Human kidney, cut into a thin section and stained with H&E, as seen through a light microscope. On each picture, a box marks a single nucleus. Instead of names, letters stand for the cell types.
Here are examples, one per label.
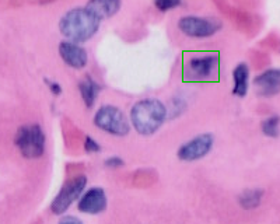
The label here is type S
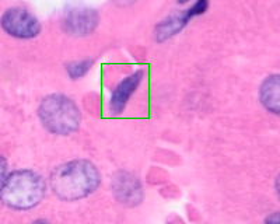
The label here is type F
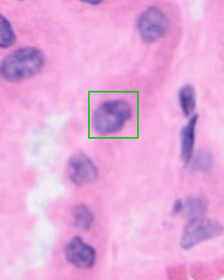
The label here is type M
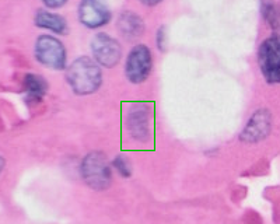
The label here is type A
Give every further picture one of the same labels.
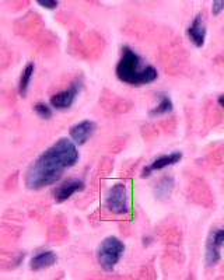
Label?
type F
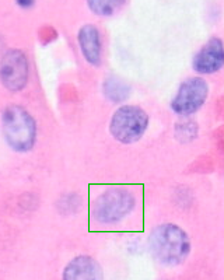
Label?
type A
